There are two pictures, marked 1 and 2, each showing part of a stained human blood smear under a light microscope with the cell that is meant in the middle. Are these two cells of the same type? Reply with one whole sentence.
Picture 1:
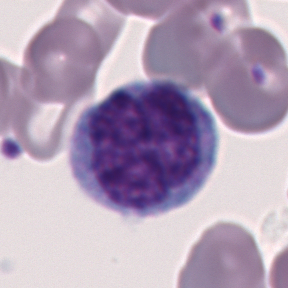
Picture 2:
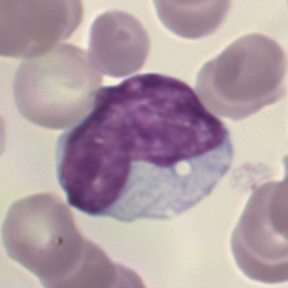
No, they differ: the cell is a monocyte in picture 1 and a myeloblast in picture 2.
